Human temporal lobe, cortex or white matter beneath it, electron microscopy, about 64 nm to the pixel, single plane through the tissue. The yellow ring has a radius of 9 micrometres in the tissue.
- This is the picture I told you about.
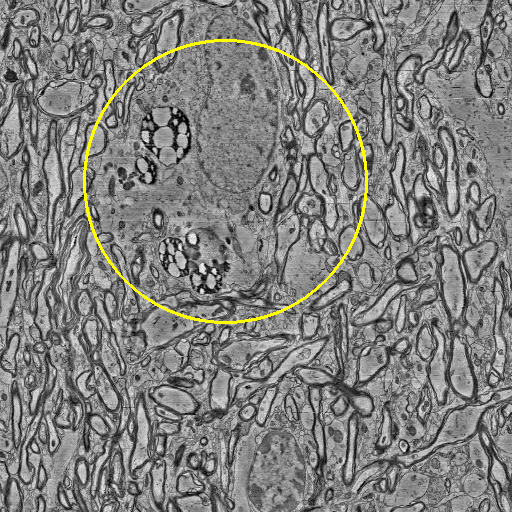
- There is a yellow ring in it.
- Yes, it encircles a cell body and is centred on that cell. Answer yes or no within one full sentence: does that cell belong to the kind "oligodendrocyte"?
No, the cell on which the yellow ring is centred belongs to a different kind.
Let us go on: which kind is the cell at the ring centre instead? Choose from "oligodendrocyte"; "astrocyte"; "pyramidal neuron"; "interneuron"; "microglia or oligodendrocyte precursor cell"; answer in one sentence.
It is an astrocyte that the ring is centred on.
